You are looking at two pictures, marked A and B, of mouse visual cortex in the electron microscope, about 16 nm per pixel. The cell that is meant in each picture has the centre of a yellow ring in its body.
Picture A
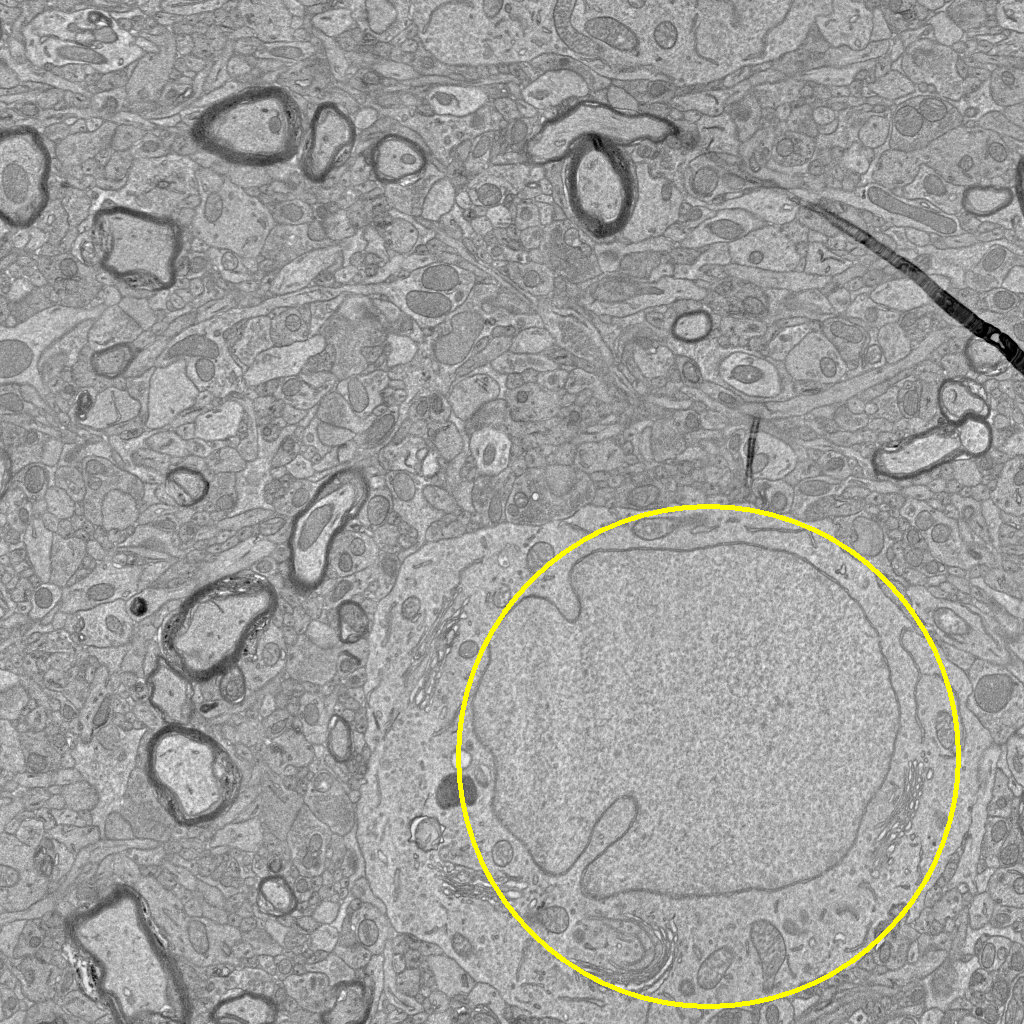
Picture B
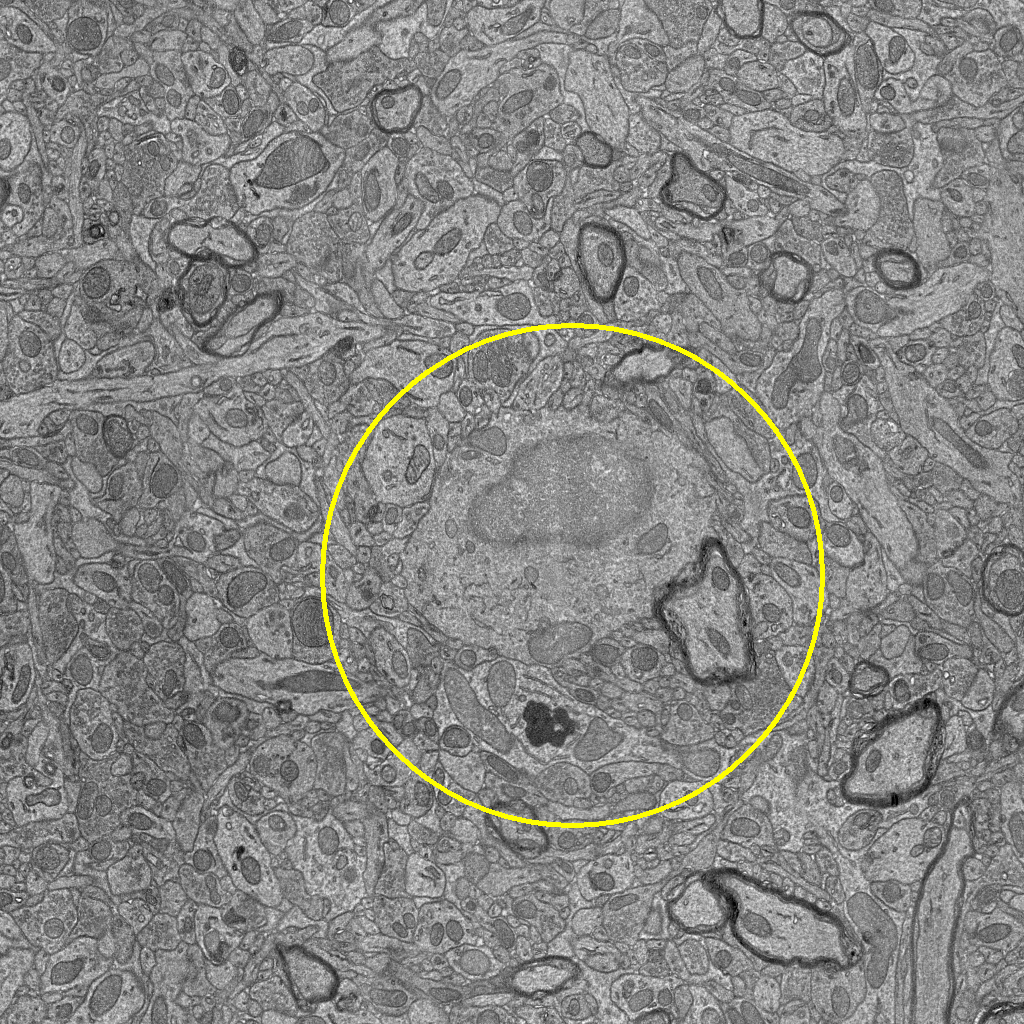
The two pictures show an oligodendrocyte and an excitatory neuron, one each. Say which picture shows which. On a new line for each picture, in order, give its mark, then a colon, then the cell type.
A: excitatory neuron
B: oligodendrocyte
